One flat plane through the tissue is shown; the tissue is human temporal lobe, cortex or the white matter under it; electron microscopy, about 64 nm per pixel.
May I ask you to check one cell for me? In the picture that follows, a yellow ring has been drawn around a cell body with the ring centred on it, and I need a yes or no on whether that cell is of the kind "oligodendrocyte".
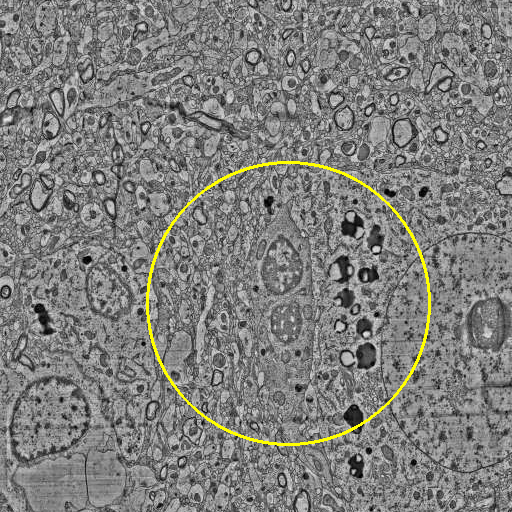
Yes, it is that kind of cell.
